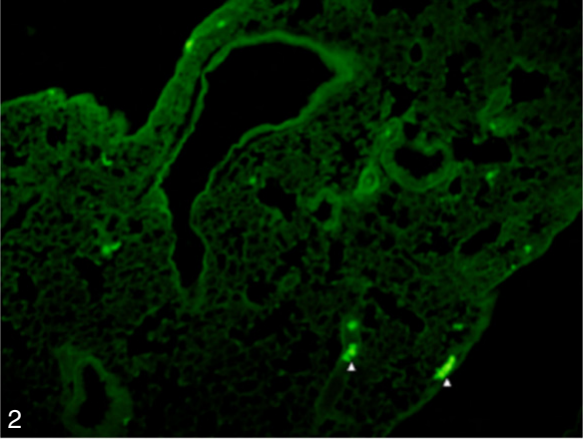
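This is a low-magnification view of lung, where the tissue forms a fine lacy network of thin walls around many small air spaces. A large tube-like channel with a thicker wall runs through the upper part, and a smooth edge marks the outer surface of the lung. Scattered through the tissue are small, very bright green spots, each a single cell or a little cluster of cells.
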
